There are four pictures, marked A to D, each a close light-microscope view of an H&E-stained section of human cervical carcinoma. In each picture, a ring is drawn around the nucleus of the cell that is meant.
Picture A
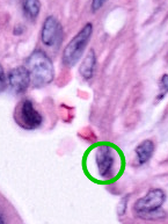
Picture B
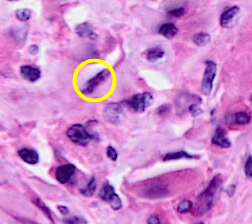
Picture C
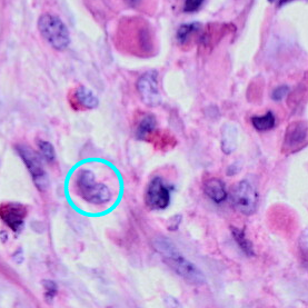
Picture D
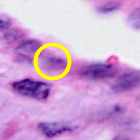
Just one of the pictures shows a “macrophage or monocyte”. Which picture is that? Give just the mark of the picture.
C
